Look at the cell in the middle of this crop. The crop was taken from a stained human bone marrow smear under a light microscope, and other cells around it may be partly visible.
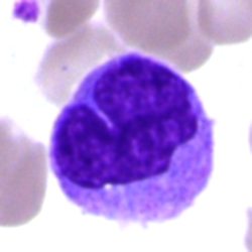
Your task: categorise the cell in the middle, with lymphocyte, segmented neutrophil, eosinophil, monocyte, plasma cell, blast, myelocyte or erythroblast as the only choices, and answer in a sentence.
The central cell, amid any neighbouring cells, is a monocyte.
